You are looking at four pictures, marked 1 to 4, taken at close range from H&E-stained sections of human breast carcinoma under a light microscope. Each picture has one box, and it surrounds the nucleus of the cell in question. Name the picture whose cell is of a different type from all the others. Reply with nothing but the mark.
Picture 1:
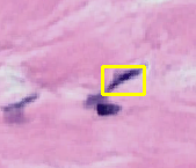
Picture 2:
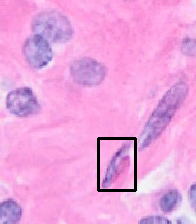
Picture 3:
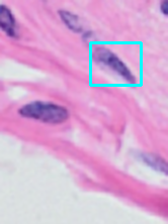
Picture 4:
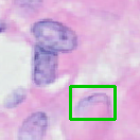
2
